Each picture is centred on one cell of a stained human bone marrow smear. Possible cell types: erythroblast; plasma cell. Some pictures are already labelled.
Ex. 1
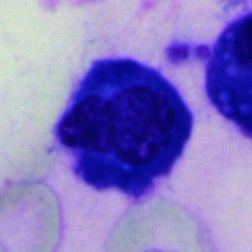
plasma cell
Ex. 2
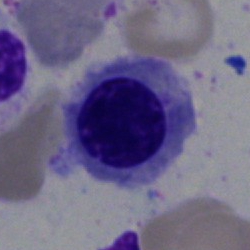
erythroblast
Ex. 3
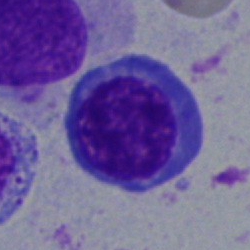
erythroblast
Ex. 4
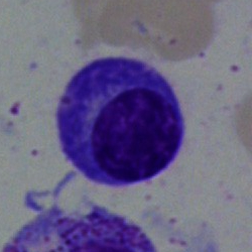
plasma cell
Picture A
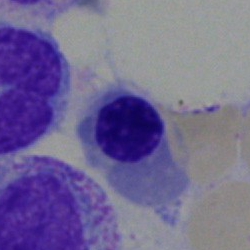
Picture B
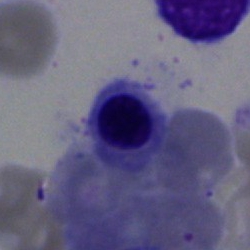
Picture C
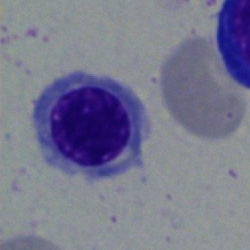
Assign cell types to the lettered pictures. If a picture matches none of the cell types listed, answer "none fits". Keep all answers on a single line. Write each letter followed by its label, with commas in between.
A erythroblast, B erythroblast, C erythroblast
